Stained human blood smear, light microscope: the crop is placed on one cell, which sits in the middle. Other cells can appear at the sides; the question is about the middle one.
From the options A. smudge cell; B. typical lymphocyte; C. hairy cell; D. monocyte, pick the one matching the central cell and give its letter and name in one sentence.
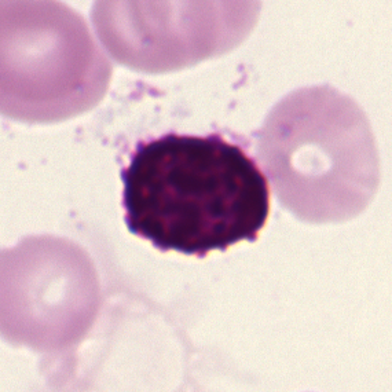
The right choice is option A: the cell in the middle is a smudge cell.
